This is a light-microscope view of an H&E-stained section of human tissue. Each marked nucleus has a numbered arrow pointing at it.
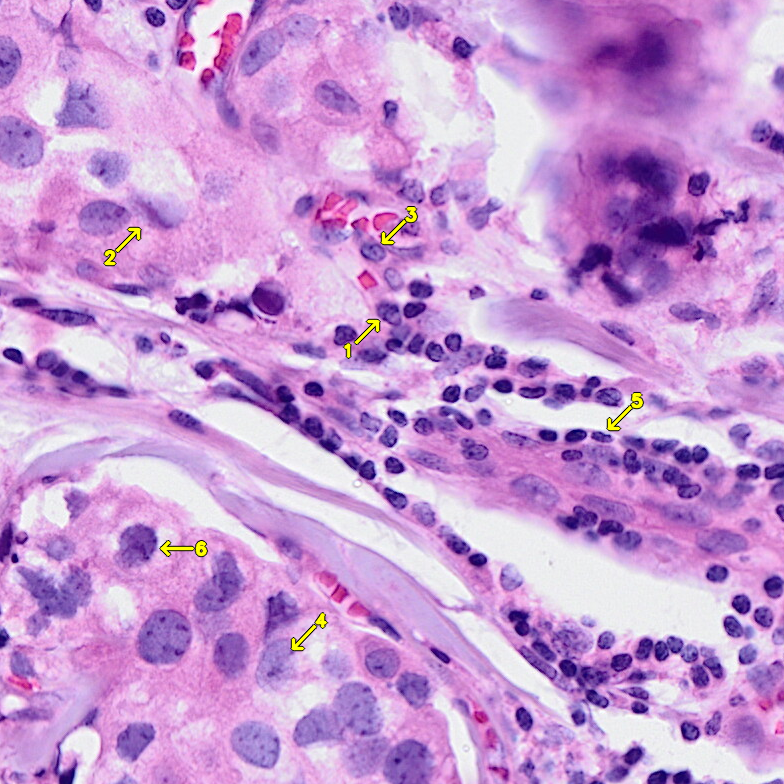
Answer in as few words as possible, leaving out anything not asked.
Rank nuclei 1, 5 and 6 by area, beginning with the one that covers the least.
5, 1, 6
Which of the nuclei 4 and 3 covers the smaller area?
3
